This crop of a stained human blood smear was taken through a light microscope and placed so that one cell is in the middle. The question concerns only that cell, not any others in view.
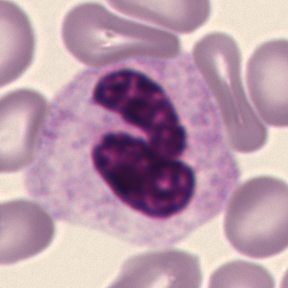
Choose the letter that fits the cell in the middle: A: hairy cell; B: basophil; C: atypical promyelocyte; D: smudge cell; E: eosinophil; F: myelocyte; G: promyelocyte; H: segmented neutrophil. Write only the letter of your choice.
H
